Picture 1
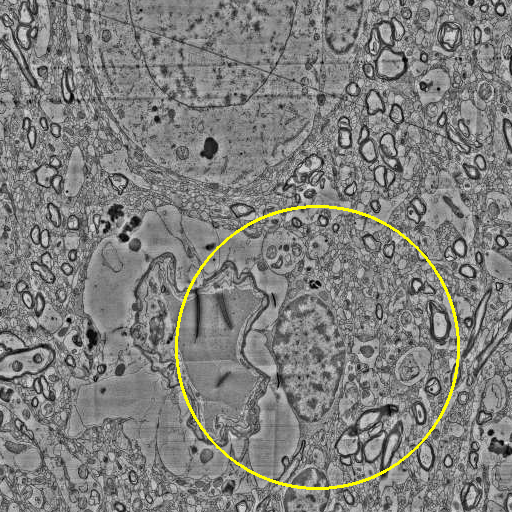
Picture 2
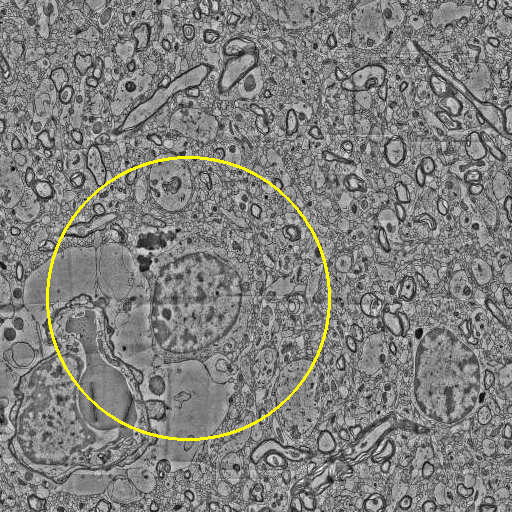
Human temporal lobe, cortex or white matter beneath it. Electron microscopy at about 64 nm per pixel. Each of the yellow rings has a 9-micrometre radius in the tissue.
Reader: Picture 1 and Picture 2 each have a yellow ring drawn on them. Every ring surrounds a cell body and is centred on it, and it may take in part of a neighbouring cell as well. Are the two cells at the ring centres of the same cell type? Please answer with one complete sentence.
Yes, both cells are of the same cell type.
